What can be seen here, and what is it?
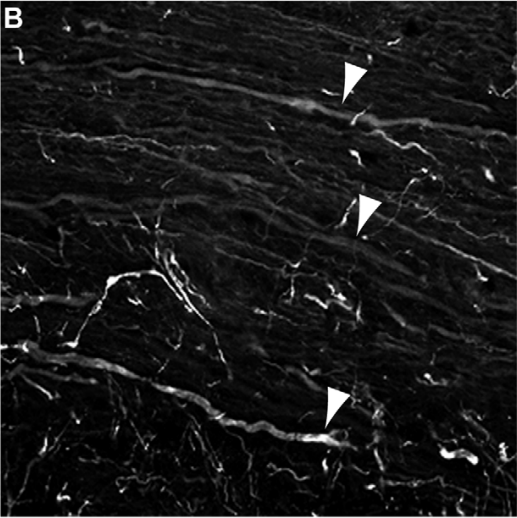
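Most fibers run in parallel along one diagonal direction, as in a tract of longitudinal fibers. Many of them are irregular: their calibre changes along their length, with beaded swellings and bulbous thickenings. Some fibers are tortuous or appear broken into short, curled fragments, especially in the lower half of the field. Finer, thinner fibers cross between the thicker ones at various angles.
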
